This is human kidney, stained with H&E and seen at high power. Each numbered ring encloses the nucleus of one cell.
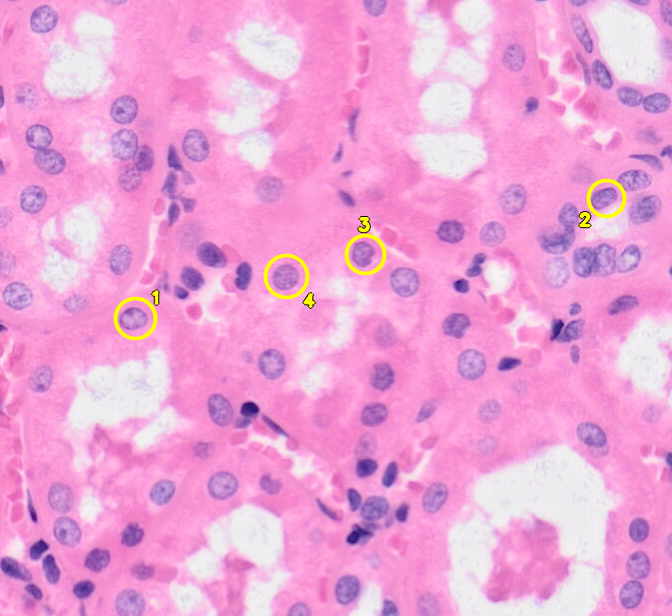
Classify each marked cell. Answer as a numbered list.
1. proximal tubule cell
2. collecting duct cell
3. proximal tubule cell
4. proximal tubule cell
